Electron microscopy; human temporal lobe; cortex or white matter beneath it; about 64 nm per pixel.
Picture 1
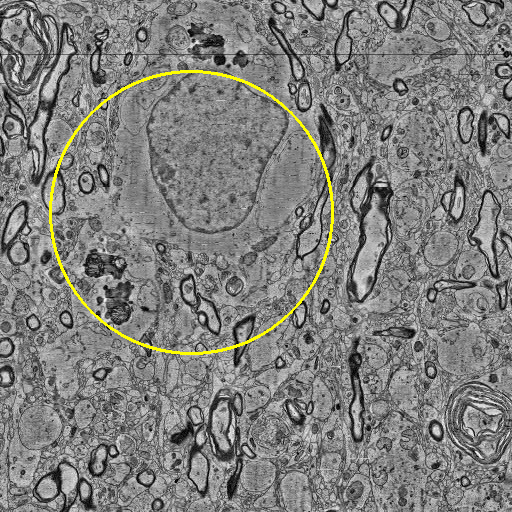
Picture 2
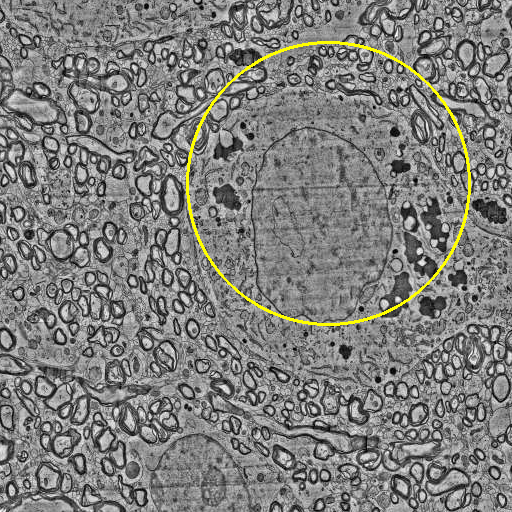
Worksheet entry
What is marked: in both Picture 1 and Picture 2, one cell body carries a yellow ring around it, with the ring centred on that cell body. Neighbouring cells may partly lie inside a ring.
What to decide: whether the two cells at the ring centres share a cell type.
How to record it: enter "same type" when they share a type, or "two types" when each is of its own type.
two types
